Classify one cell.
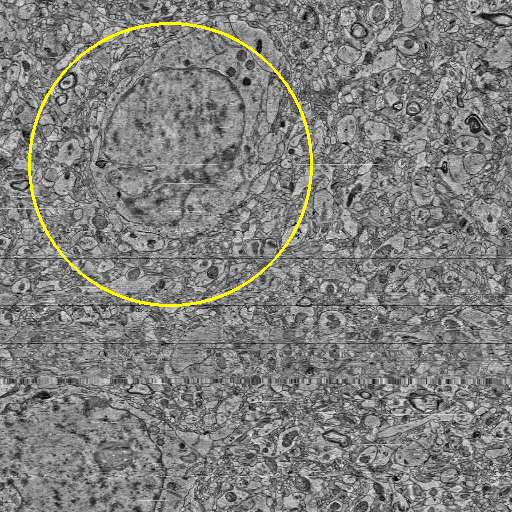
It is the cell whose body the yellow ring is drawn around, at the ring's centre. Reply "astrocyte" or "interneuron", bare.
interneuron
